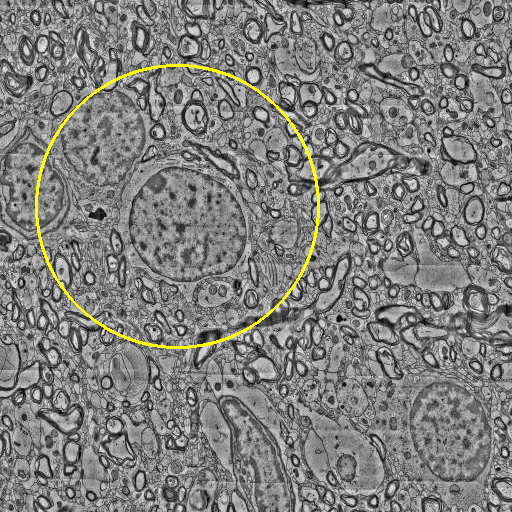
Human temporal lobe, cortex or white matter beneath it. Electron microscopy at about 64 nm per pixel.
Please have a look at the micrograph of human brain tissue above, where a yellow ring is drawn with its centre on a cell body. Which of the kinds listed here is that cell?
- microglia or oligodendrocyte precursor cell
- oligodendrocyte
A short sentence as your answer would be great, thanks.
At the centre of the ring sits a microglial cell or oligodendrocyte precursor cell.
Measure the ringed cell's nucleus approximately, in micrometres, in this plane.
In this plane the nucleus is about 7 micrometres across.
